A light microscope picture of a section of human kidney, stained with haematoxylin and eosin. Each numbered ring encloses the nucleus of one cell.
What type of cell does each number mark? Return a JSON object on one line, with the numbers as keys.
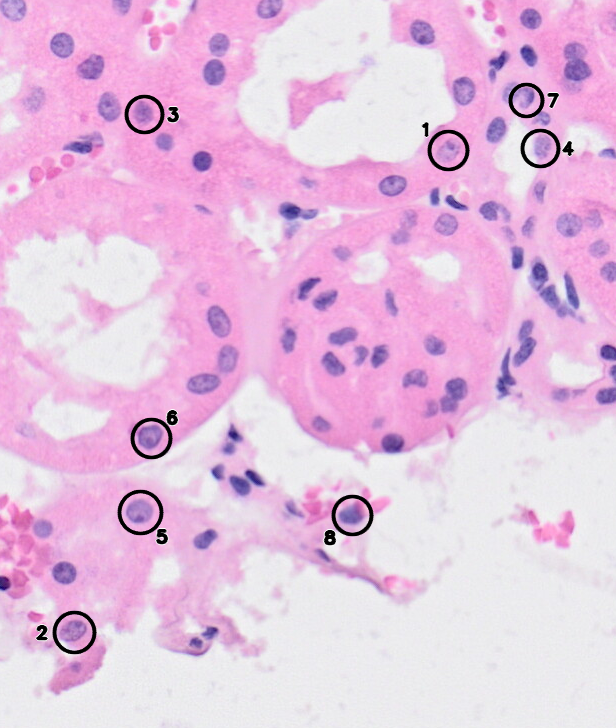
{"1": "proximal tubule cell", "2": "proximal tubule cell", "3": "proximal tubule cell", "4": "collecting duct cell", "5": "proximal tubule cell", "6": "proximal tubule cell", "7": "collecting duct cell", "8": "endothelial cell"}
